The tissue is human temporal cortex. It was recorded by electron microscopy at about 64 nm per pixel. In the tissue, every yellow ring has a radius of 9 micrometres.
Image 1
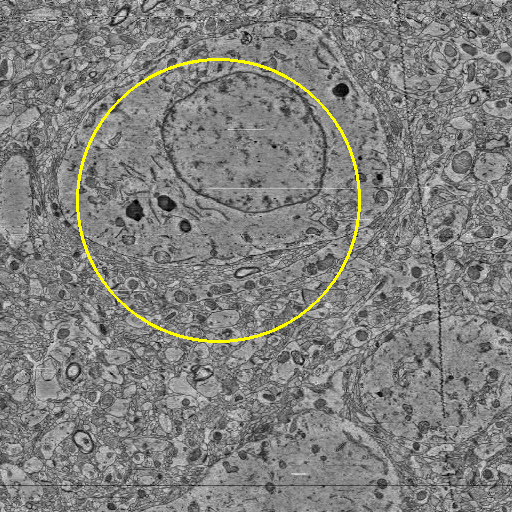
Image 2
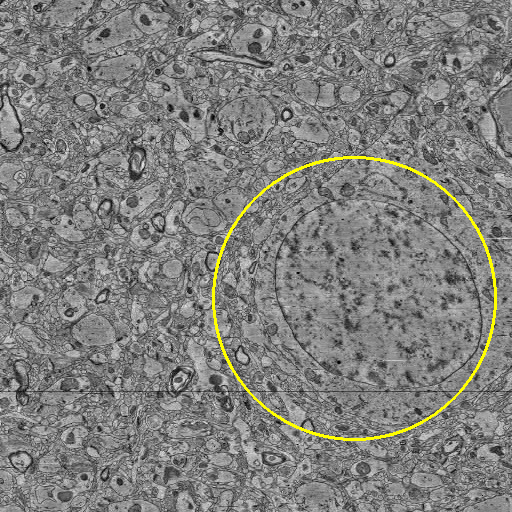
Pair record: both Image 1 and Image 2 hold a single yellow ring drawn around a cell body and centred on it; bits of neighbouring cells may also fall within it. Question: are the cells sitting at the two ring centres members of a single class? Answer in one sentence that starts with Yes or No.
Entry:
Yes, both ring-centre cells in Image 1 and Image 2 are members of one class.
